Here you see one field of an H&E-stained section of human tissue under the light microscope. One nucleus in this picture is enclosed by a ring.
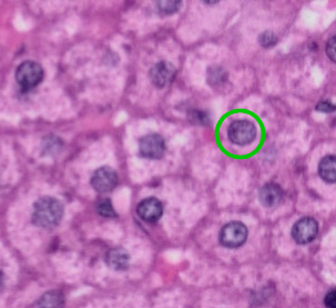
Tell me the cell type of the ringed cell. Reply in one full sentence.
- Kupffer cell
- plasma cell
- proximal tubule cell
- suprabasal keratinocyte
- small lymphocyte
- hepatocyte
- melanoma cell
Microscopically, the ringed cell is categorized as a hepatocyte.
